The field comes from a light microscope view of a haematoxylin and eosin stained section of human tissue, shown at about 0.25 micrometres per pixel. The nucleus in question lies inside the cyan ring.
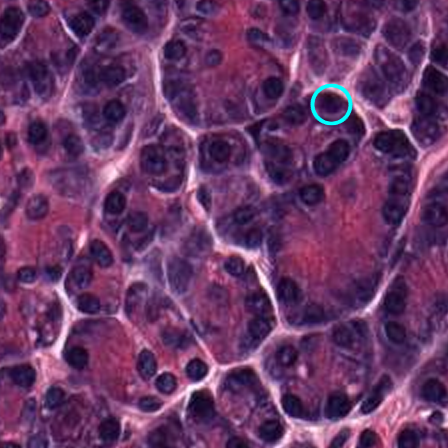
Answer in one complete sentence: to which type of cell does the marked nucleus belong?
The marked nucleus is located in a pancreatic acinar cell.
